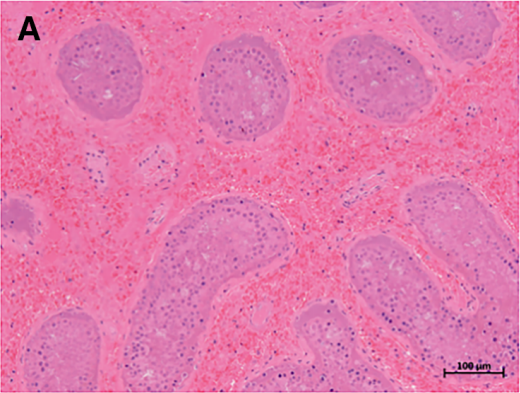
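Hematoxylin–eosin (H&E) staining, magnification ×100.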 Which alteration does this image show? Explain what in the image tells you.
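The spaces between the tubules are filled with densely packed bright red blood cells. Red cells spread widely through the interstitium rather than lying inside vessels. So: hemorrhage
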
